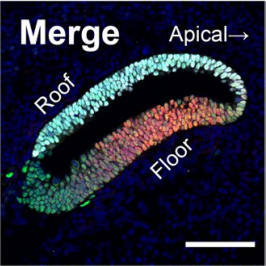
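This is a section of the developing cochlear duct, a curved epithelial tube of tightly packed, elongated nuclei surrounding a narrow dark lumen, embedded in loose mesenchyme with scattered blue nuclei. The upper wall is thinner and its nuclei glow white-green, while the thicker lower wall carries orange-red nuclei, so the two walls are sharply set apart by colour. A few isolated green cells lie outside the epithelium at the left end.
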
